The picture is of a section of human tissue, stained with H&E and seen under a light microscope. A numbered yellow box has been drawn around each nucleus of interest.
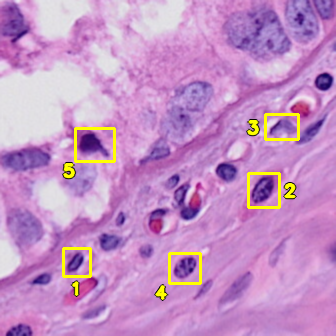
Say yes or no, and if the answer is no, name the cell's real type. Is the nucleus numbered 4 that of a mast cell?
Yes.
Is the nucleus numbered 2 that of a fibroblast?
No, it is a mast cell.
